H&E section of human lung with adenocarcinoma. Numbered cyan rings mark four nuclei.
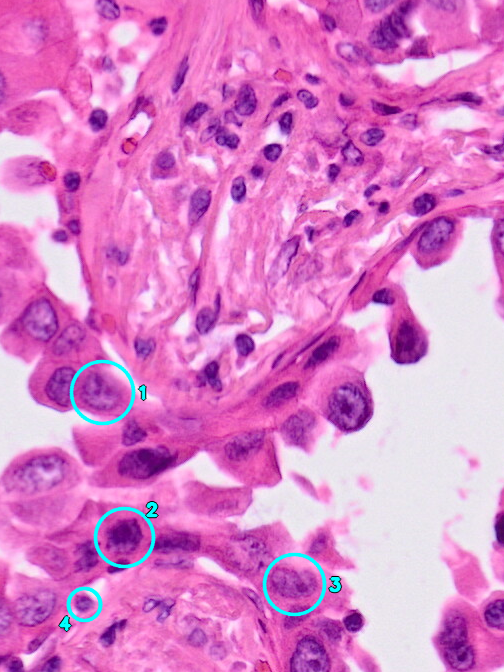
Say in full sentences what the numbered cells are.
Cells 1, 2 and 3 are carcinoma cells. Cell 4 is a lymphocyte.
